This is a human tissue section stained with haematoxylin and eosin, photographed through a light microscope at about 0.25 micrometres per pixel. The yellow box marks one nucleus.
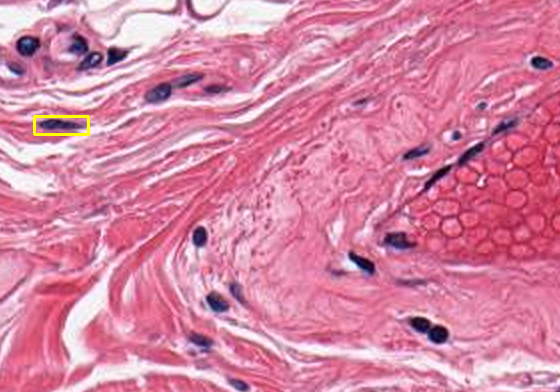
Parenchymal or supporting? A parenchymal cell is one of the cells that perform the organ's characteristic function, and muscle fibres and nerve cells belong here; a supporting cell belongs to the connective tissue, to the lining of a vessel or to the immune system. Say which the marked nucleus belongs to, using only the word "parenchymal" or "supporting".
supporting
